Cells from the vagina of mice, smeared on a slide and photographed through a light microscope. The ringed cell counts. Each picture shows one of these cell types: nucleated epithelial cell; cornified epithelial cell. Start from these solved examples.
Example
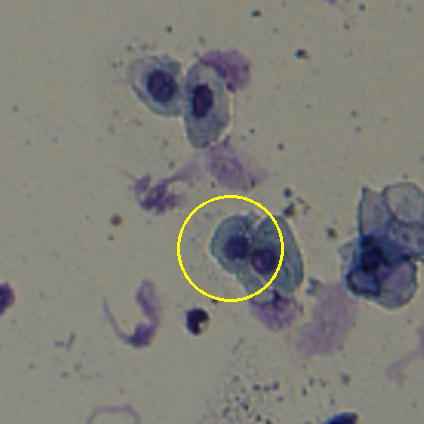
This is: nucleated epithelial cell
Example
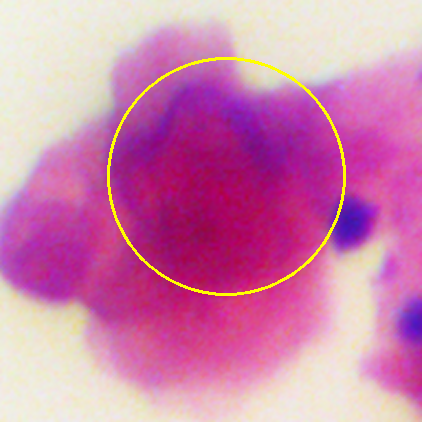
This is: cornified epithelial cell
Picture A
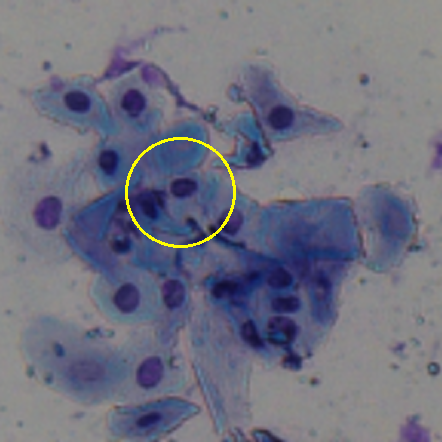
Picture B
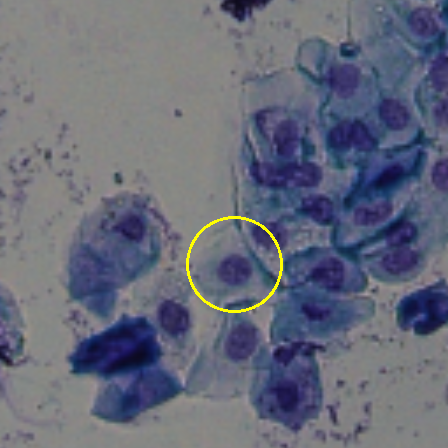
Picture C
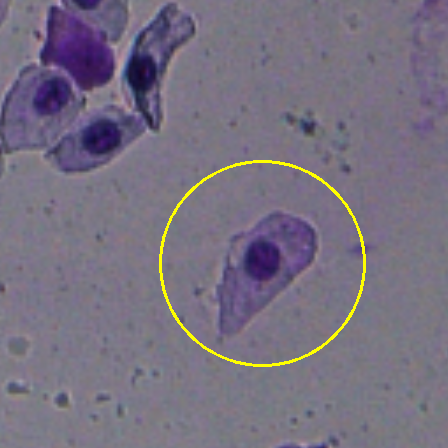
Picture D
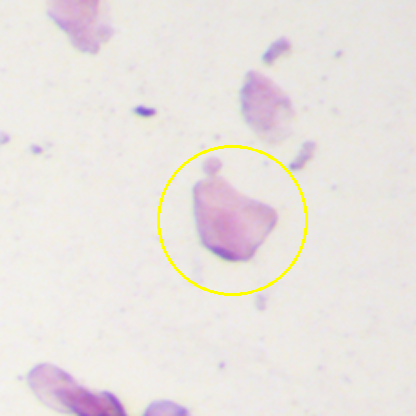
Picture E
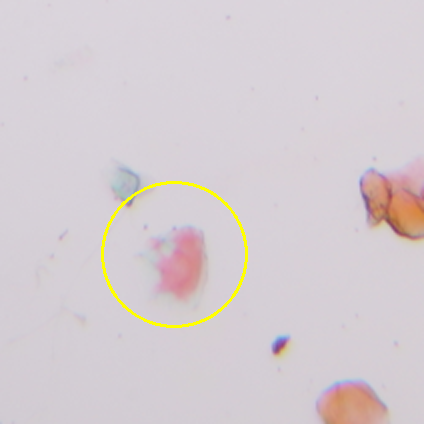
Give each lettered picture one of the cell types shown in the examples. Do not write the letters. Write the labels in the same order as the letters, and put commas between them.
nucleated epithelial cell, nucleated epithelial cell, nucleated epithelial cell, cornified epithelial cell, cornified epithelial cell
